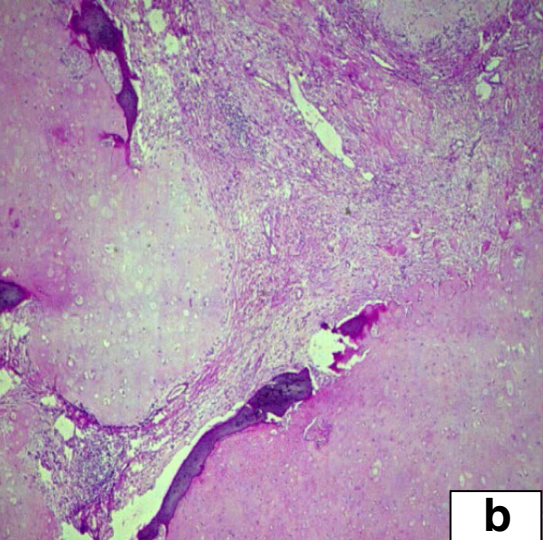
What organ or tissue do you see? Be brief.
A: Cartilage formation with calcification and ossification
